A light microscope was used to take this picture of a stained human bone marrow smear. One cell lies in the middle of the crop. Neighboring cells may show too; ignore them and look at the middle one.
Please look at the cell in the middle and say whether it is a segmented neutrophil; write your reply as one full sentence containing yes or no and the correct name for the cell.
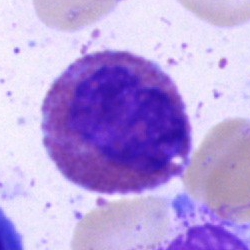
No, wrong label: the middle cell is an eosinophil instead of a segmented neutrophil.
